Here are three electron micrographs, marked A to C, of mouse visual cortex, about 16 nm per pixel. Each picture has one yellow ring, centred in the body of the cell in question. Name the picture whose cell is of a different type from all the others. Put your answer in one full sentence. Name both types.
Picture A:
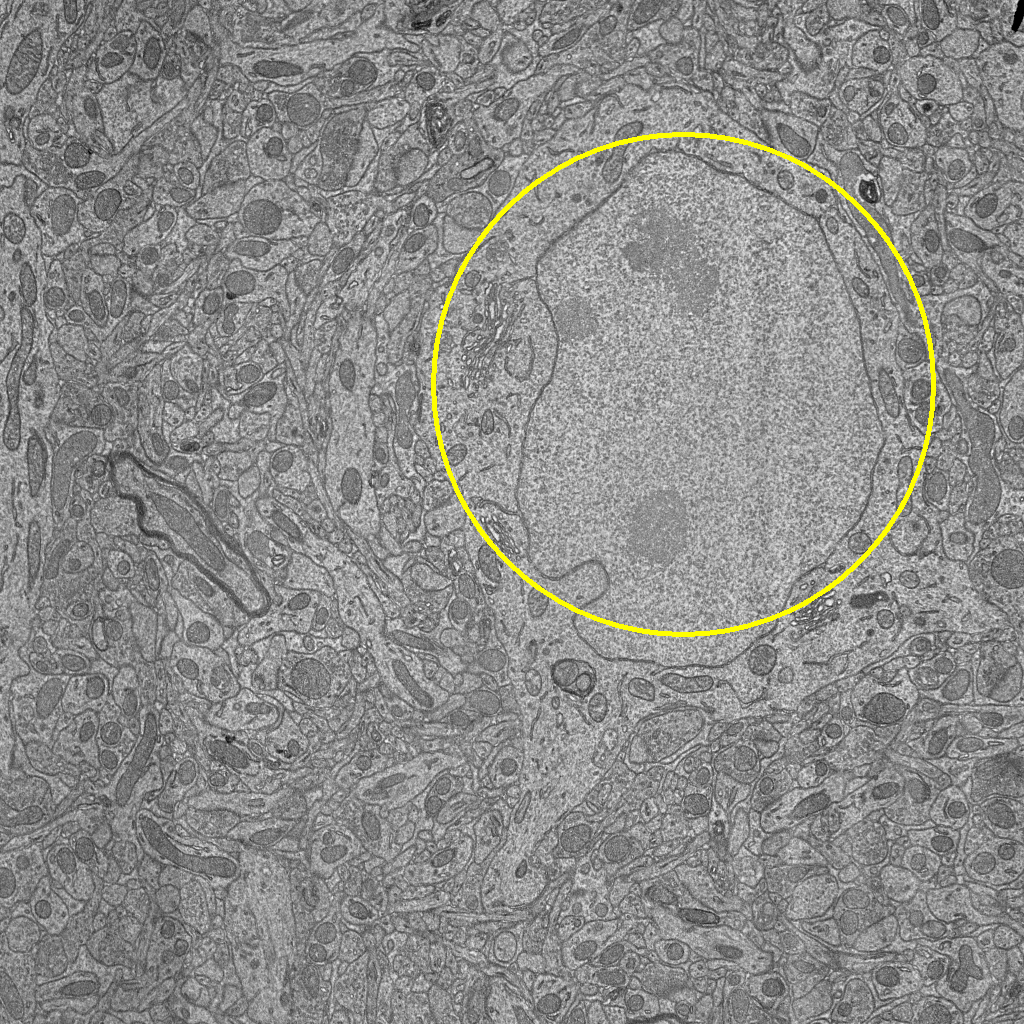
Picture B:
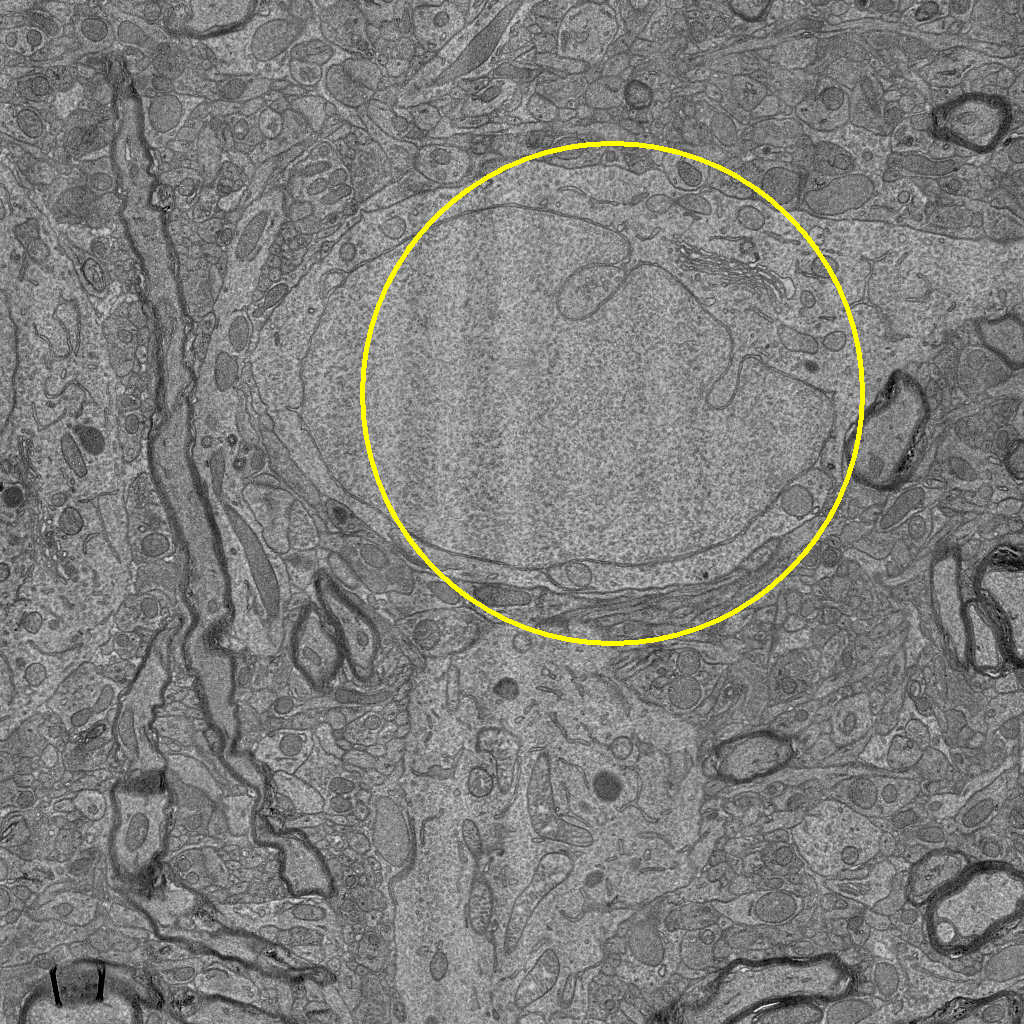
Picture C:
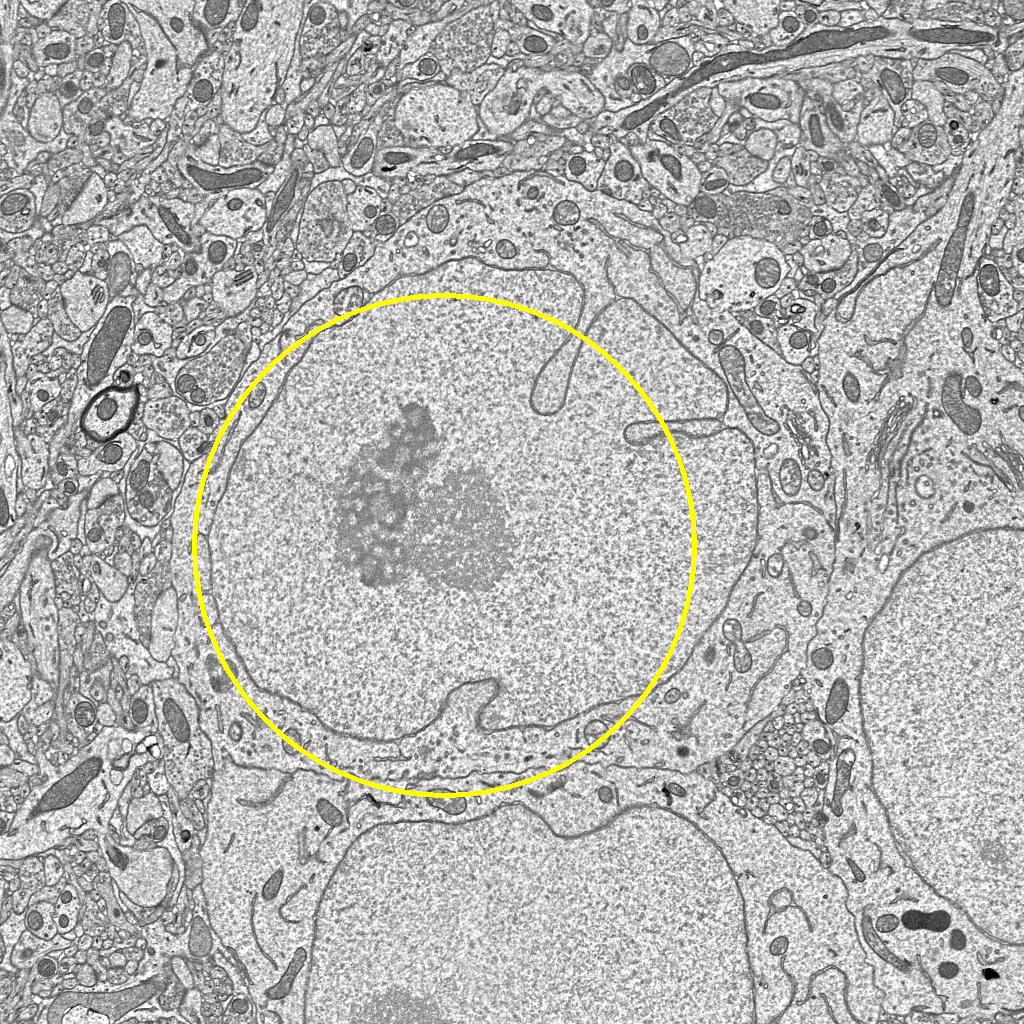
All pictures except A show inhibitory neurons; picture A shows an excitatory neuron.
